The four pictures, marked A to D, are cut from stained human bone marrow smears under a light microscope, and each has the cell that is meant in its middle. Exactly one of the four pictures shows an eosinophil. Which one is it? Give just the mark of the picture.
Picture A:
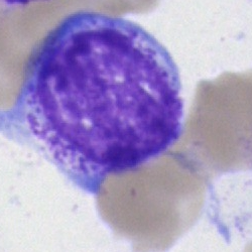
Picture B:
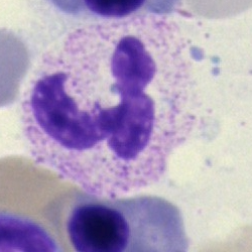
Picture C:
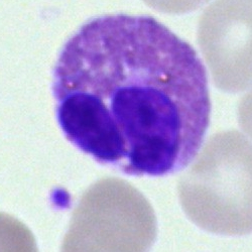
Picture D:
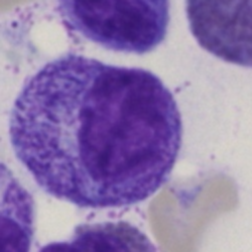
C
